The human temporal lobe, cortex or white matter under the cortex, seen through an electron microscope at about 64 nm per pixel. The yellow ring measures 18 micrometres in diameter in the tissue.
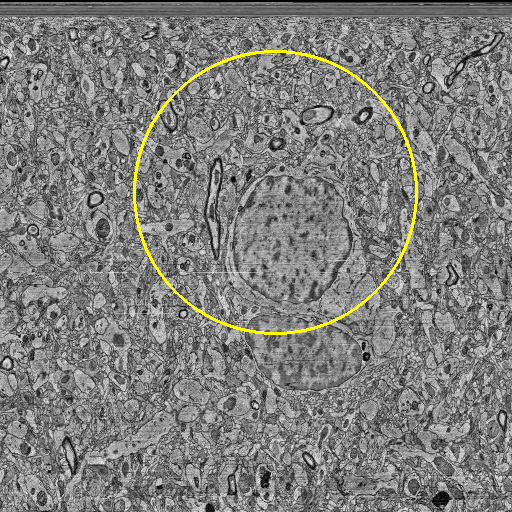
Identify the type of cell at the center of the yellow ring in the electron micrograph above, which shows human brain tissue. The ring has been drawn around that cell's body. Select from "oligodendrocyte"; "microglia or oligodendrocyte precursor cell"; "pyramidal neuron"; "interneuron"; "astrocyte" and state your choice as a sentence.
The yellow ring is centered on the body of a microglial cell or oligodendrocyte precursor cell.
